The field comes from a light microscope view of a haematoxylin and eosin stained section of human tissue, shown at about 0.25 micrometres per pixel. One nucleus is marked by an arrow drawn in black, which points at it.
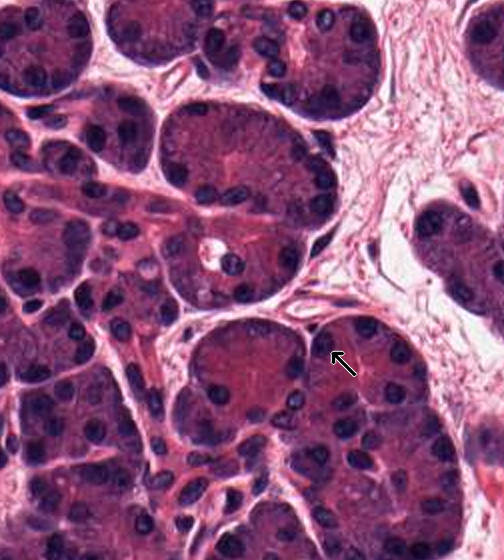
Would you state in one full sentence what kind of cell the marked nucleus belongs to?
As shown here, the nucleus that is marked is that of a pancreatic acinar cell.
